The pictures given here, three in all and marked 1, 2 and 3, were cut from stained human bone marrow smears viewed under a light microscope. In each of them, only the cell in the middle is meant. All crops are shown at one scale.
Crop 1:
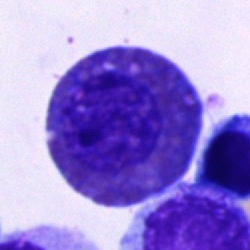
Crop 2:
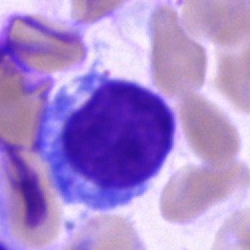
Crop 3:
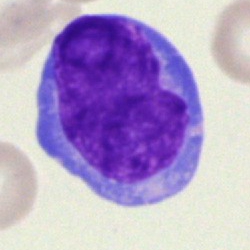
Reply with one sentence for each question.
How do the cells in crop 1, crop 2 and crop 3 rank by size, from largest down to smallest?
Going down, they run 3, 1, 2.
